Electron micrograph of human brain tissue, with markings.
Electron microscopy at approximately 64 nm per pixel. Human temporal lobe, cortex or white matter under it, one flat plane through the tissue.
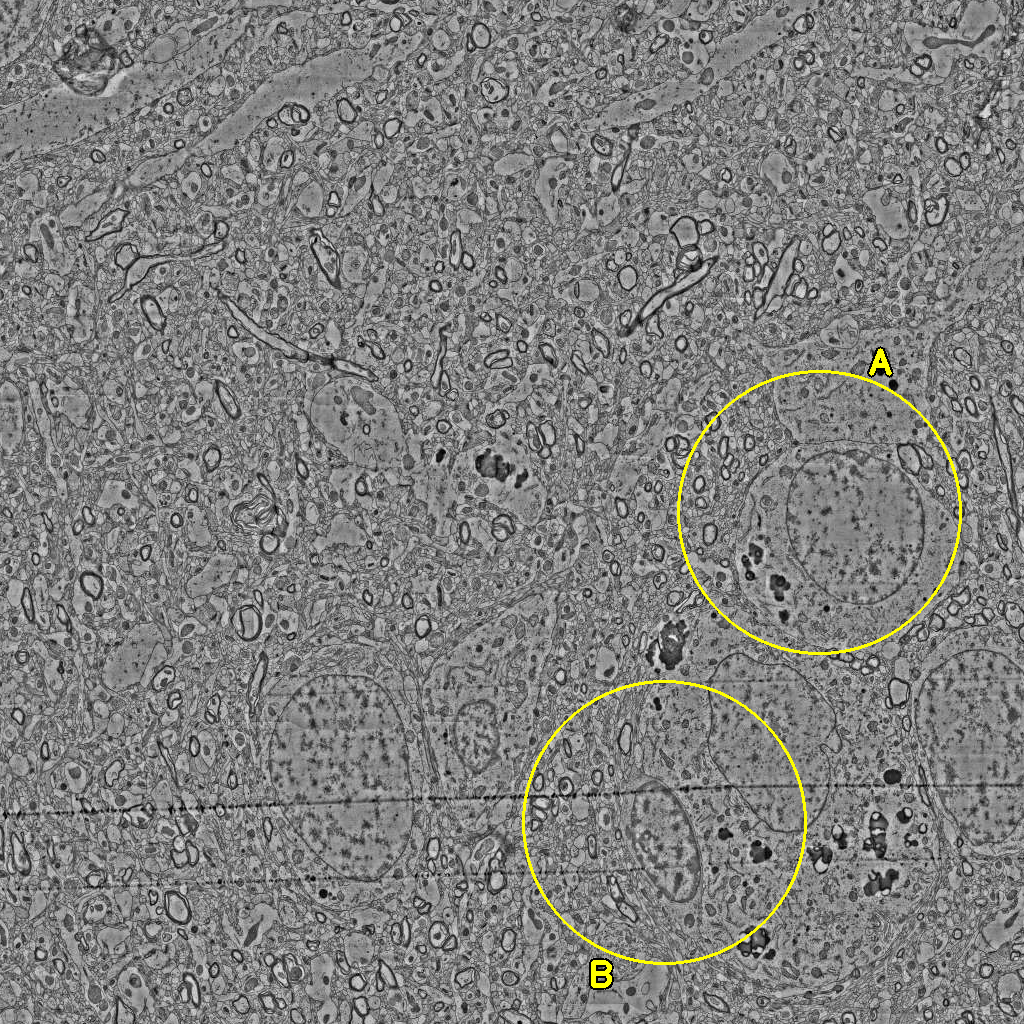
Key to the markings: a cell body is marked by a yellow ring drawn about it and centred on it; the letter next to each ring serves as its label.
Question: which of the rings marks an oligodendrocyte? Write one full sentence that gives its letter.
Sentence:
In this picture, the ring marking that kind of cell has the letter B.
